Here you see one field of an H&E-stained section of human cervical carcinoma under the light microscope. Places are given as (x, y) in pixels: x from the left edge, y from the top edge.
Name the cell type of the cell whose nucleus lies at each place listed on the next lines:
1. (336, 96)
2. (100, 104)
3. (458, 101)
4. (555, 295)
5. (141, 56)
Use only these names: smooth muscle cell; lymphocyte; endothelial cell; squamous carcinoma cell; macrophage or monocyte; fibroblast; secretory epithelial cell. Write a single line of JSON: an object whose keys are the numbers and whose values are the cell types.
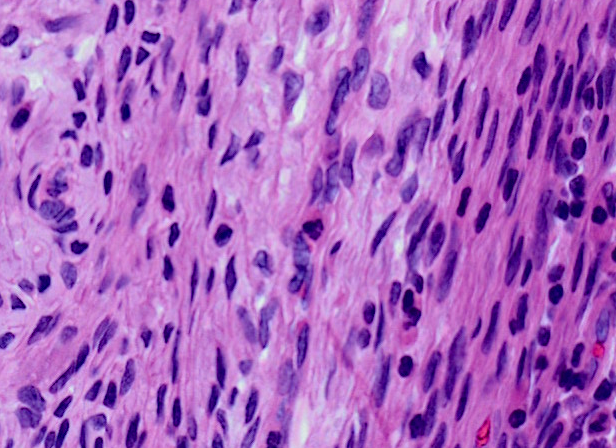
{"1": "endothelial cell", "2": "fibroblast", "3": "fibroblast", "4": "lymphocyte", "5": "fibroblast"}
